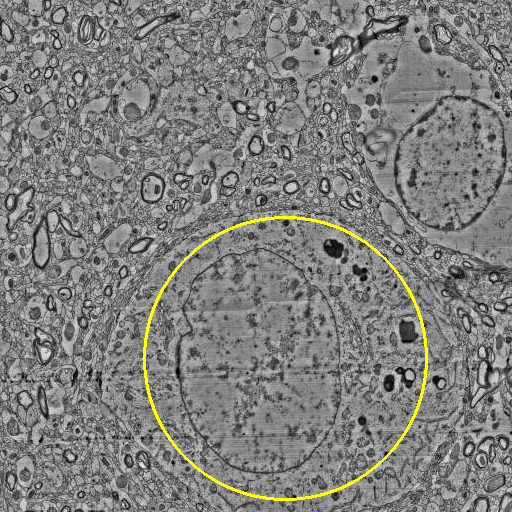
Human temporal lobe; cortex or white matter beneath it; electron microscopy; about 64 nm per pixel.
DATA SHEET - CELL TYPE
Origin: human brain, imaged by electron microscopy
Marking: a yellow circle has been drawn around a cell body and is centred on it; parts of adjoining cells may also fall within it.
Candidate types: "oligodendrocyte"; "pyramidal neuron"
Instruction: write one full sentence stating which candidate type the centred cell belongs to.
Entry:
The cell body at the centre of the yellow ring in this micrograph belongs to a pyramidal neuron.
